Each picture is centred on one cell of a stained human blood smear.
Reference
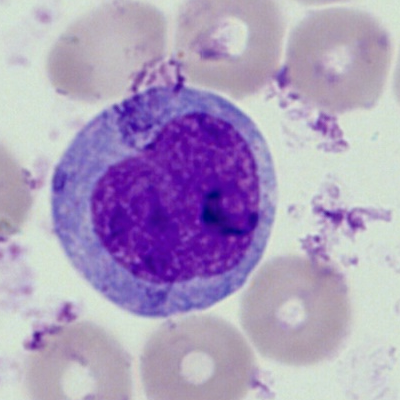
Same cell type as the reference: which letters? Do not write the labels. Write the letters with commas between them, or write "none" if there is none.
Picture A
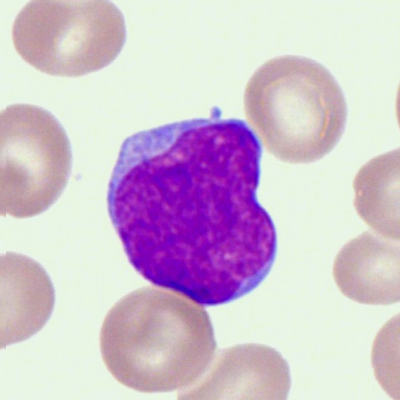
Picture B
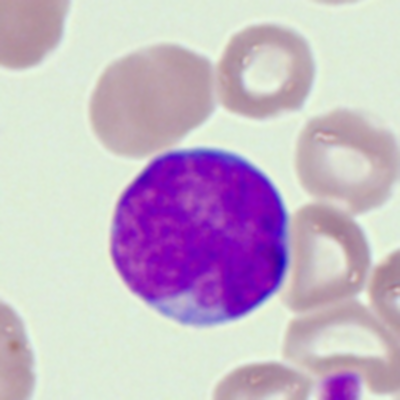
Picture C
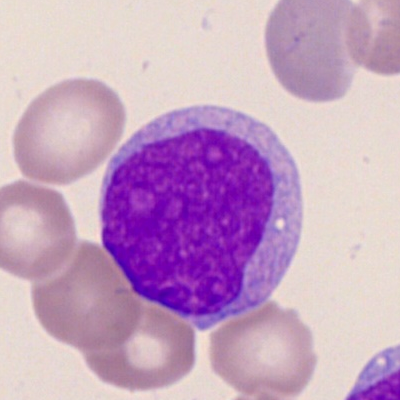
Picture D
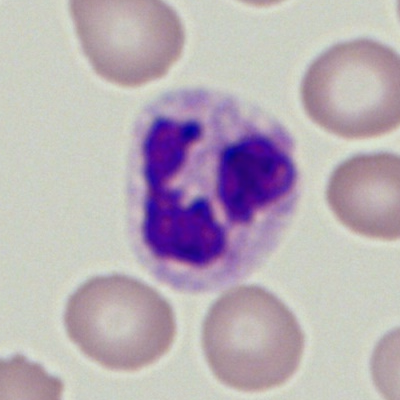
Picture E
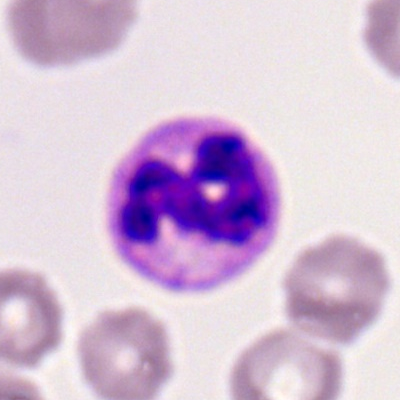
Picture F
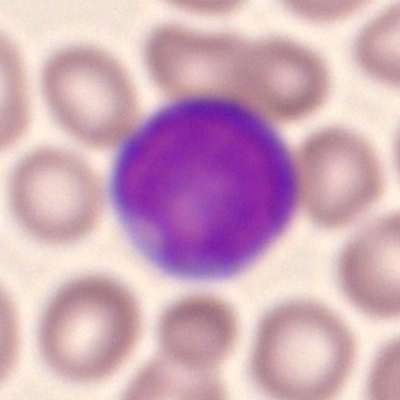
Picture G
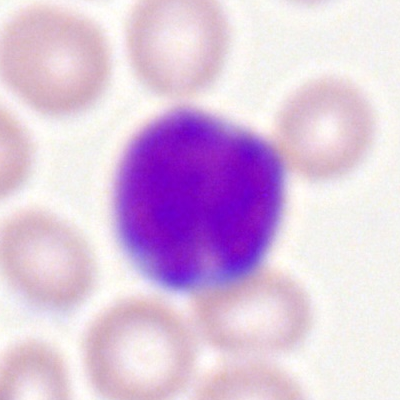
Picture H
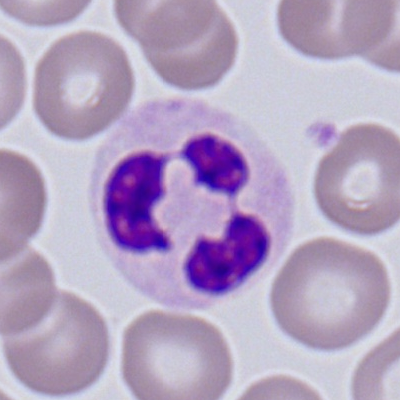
A, B, C, F, G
